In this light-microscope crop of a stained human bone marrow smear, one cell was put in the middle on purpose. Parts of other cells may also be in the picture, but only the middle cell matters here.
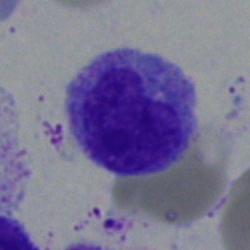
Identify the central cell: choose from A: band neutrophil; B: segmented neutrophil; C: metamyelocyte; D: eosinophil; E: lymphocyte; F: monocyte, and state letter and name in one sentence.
What sits in the middle of the crop is a metamyelocyte, and option C is correct.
